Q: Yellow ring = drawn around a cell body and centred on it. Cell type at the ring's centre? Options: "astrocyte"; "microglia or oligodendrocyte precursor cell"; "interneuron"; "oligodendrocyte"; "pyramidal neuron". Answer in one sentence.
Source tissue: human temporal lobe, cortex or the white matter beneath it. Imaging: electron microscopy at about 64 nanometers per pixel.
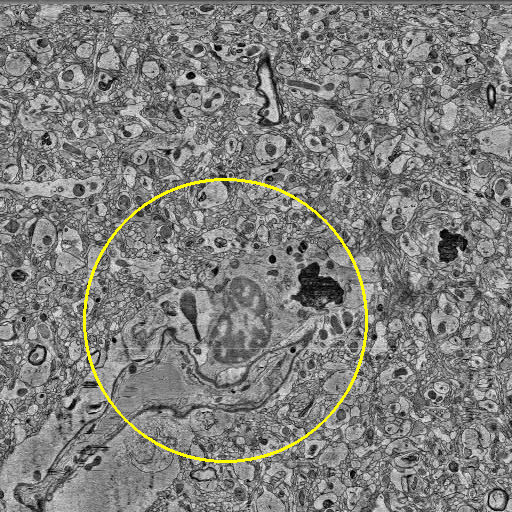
Centred in the ring is an oligodendrocyte.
